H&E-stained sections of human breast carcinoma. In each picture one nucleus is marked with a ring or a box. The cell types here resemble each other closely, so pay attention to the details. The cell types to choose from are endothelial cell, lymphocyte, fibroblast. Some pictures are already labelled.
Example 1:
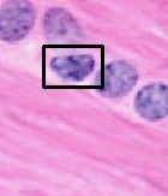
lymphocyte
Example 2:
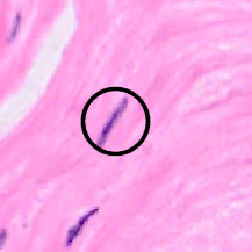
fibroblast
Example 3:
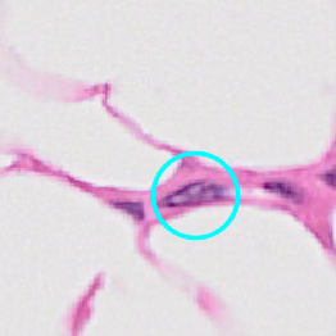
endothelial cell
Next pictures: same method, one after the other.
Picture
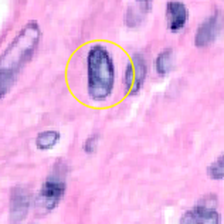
endothelial cell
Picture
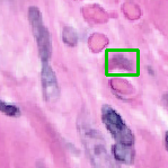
endothelial cell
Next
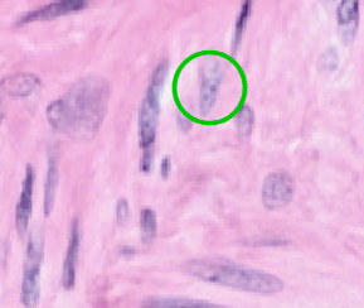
endothelial cell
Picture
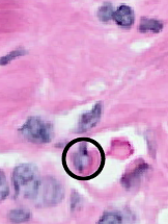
endothelial cell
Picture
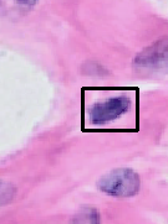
lymphocyte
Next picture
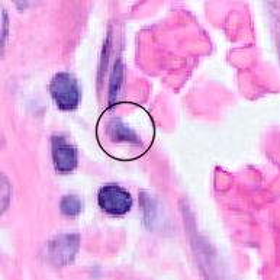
endothelial cell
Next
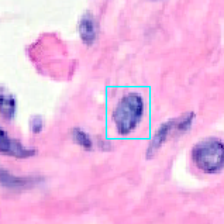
endothelial cell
